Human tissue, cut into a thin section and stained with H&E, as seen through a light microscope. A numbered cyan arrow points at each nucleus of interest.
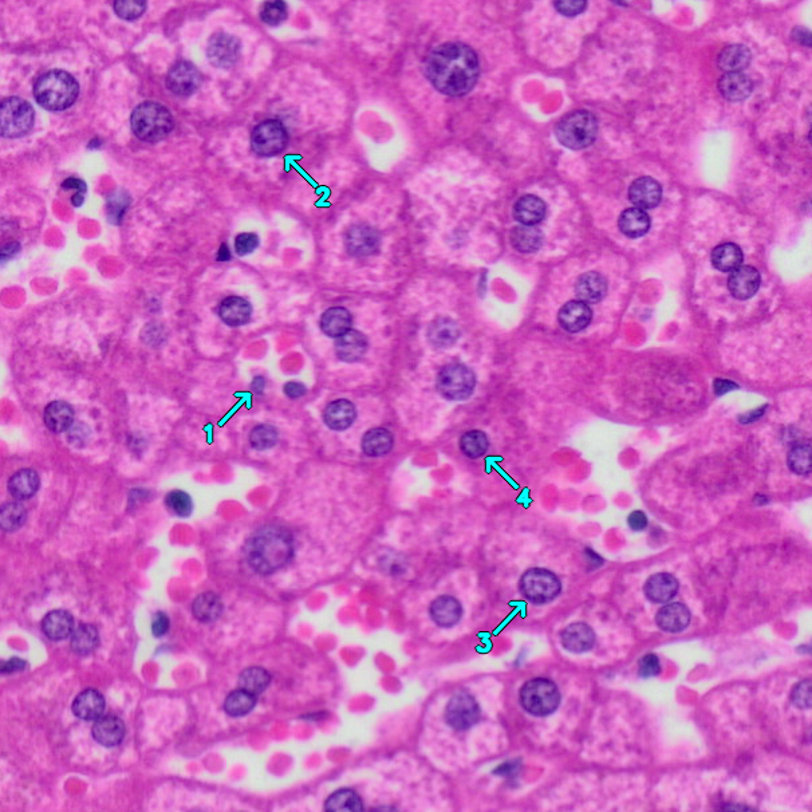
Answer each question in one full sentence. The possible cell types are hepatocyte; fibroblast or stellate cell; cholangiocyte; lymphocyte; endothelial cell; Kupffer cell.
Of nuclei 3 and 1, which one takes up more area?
It is nucleus 3, which covers about 4 times the area of nucleus 1.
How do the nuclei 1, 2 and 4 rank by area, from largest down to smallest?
Largest first, the order by area is 2, 4, 1.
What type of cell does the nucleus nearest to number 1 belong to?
It is a lymphocyte whose nucleus is nearest to number 1.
